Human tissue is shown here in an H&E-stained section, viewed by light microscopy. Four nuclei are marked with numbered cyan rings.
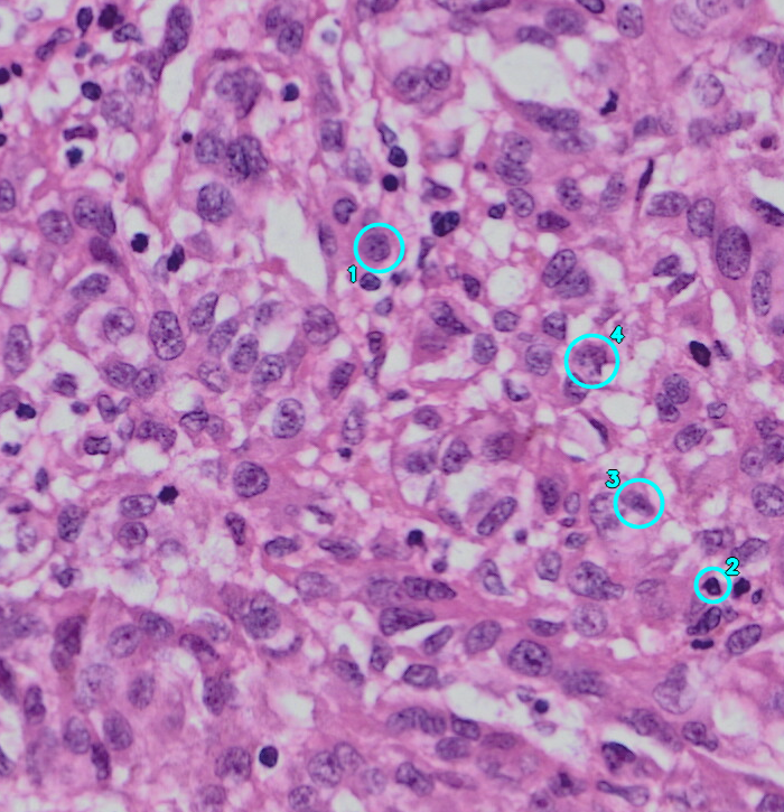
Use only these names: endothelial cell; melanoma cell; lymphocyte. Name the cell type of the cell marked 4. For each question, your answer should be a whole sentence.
Of the numbered cells, the one labelled 4 is a melanoma cell.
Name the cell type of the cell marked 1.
In this section, the cell tagged 1 is a melanoma cell.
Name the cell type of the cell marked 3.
The marked cell bearing number 3 is a melanoma cell.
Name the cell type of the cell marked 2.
The numbered cell 2 in this field is a lymphocyte.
